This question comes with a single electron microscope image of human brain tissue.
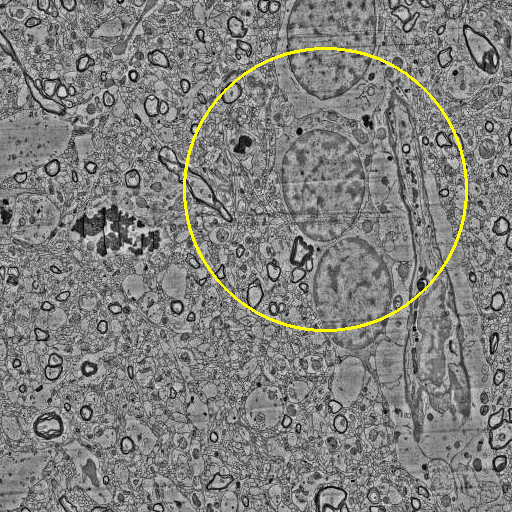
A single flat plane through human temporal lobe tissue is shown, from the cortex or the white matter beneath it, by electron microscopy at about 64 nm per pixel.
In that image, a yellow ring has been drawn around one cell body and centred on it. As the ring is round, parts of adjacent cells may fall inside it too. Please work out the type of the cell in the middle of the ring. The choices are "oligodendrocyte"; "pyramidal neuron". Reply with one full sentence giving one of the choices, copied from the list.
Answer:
Of the choices, an oligodendrocyte is the cell sitting in the middle of the ring.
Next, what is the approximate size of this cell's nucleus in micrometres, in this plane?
In this plane the nucleus is about 7 micrometres by 5.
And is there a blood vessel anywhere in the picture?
Yes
